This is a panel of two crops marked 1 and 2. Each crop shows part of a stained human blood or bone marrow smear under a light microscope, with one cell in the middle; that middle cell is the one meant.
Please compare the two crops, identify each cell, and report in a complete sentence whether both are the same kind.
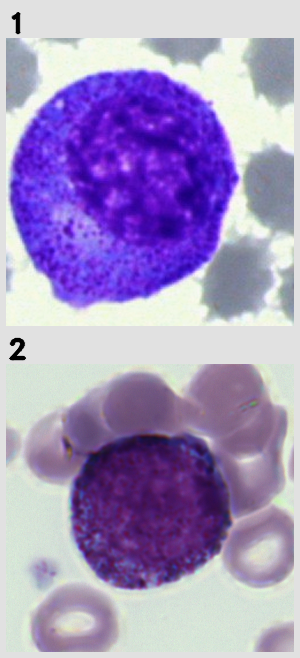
Yes, both crops have promyelocytes at the centre.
